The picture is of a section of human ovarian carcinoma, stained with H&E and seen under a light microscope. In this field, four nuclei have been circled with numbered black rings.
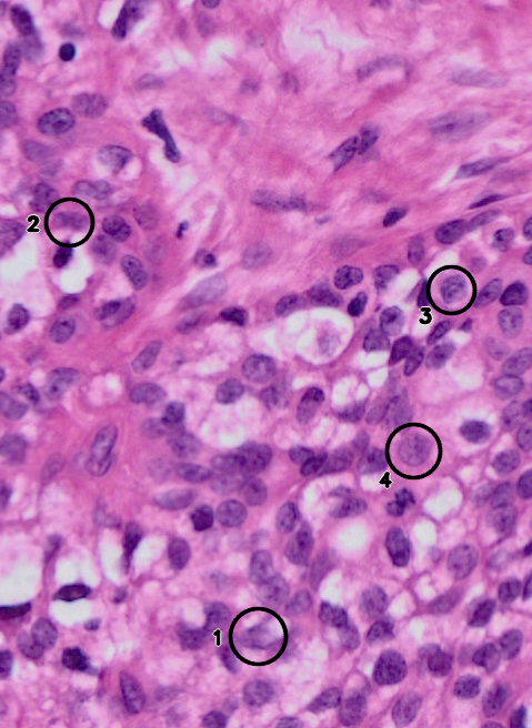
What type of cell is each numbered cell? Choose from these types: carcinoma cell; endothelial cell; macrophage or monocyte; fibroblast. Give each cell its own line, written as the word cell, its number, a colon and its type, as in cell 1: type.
cell 1: carcinoma cell
cell 2: carcinoma cell
cell 3: macrophage or monocyte
cell 4: carcinoma cell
